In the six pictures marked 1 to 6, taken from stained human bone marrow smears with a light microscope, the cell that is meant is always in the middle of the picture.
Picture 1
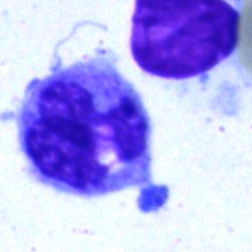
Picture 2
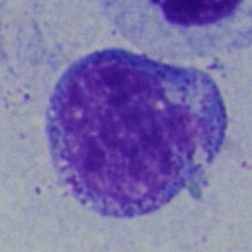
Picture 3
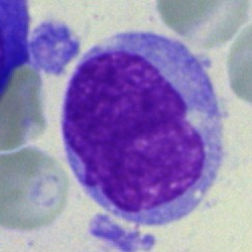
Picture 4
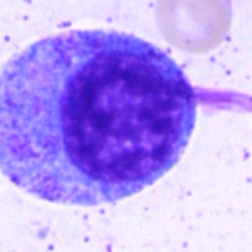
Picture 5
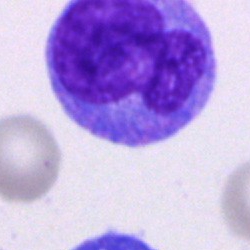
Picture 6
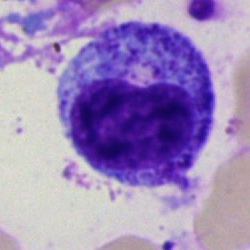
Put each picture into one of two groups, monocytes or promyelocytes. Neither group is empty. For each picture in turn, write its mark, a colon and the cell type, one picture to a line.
1: monocyte
2: promyelocyte
3: monocyte
4: promyelocyte
5: monocyte
6: promyelocyte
